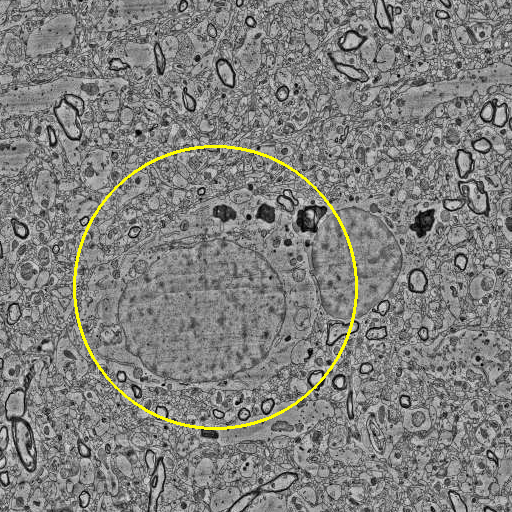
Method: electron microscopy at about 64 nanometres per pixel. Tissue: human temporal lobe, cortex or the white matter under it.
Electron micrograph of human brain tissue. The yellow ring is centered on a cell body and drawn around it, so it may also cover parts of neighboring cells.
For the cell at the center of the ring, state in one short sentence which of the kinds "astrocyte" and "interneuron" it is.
This ring is centered on an interneuron.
